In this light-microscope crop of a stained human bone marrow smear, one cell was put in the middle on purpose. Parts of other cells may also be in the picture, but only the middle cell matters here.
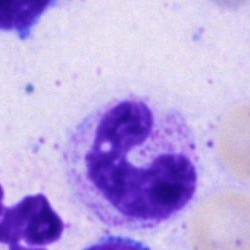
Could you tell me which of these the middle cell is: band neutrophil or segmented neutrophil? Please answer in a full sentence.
The middle of this crop holds a band neutrophil.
